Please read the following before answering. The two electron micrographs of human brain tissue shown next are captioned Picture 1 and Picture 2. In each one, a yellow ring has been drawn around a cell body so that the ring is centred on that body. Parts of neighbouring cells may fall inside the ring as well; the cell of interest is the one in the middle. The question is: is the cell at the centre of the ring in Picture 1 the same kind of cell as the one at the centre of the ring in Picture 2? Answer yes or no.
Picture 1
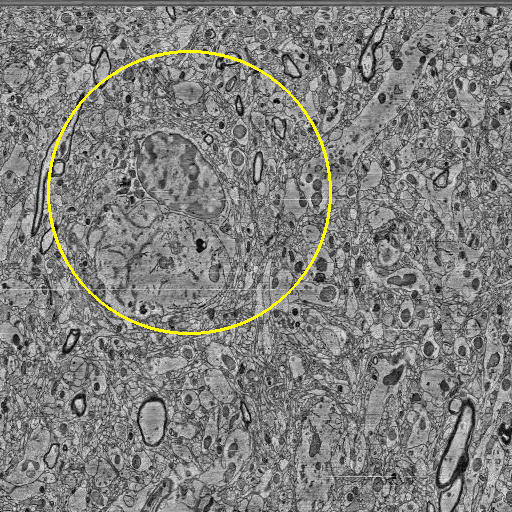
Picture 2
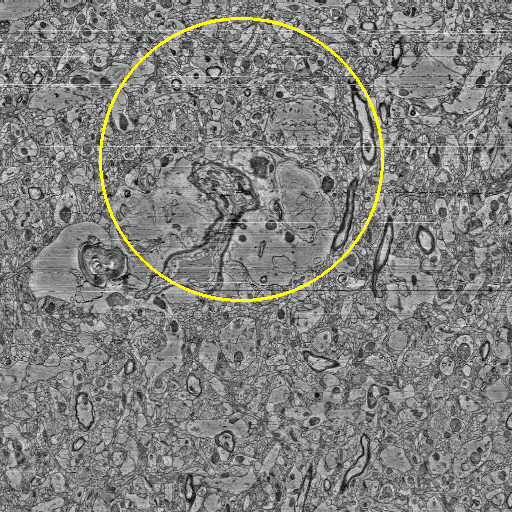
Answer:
yes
